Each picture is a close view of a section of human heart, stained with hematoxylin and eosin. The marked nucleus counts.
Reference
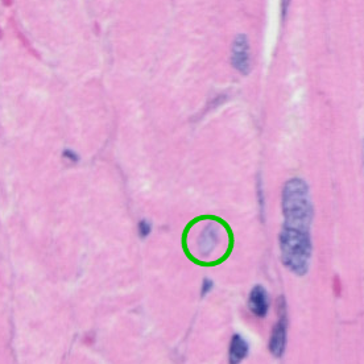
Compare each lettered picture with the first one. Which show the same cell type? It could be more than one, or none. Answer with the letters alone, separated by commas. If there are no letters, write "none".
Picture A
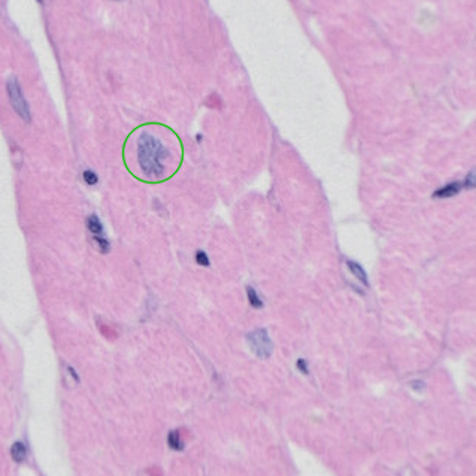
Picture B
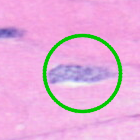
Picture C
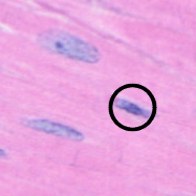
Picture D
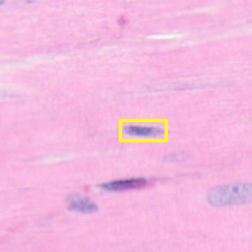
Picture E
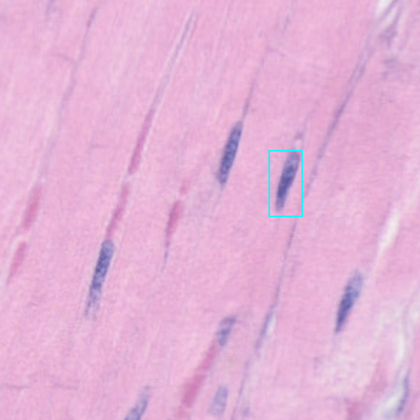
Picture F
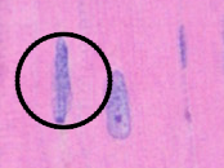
A, B, F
